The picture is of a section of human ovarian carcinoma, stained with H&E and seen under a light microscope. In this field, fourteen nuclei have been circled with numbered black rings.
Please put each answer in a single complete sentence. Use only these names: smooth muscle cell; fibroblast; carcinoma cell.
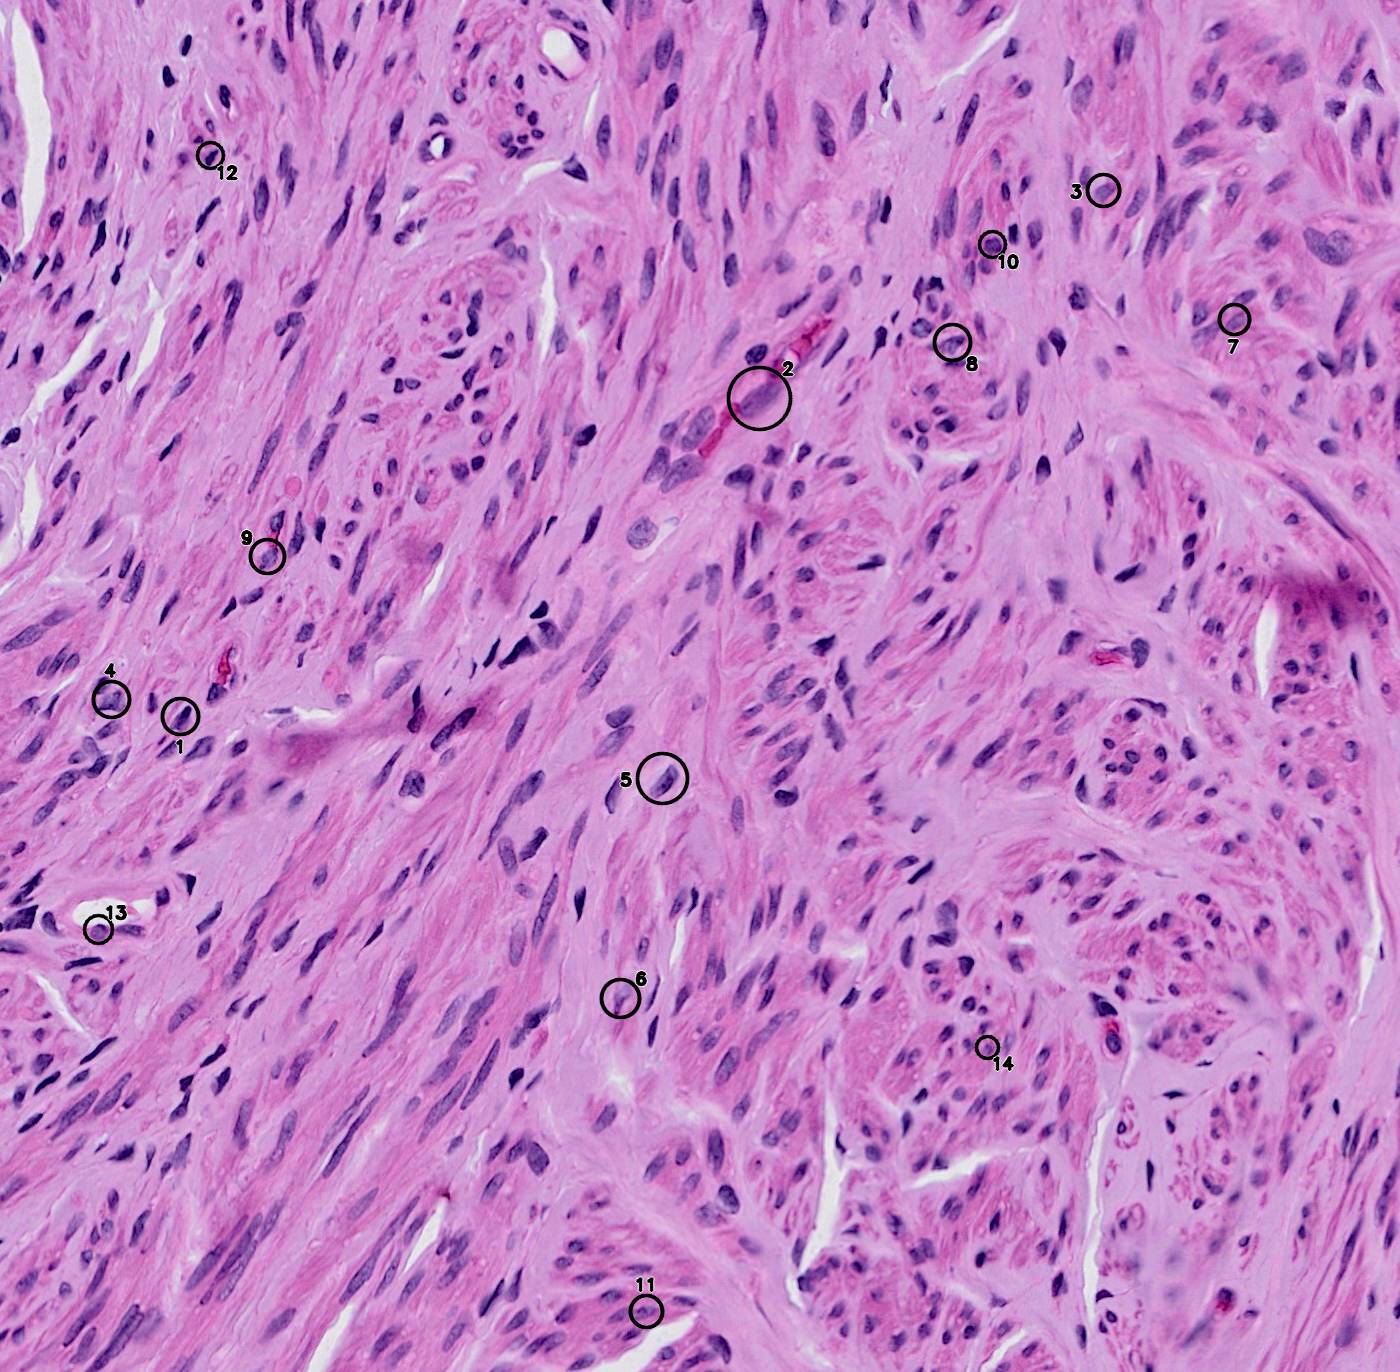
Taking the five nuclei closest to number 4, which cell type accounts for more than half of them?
The majority of the five nuclei closest to number 4 belong to smooth muscle cells.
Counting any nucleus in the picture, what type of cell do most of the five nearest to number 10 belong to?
The majority of the five nuclei closest to number 10 belong to smooth muscle cells.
